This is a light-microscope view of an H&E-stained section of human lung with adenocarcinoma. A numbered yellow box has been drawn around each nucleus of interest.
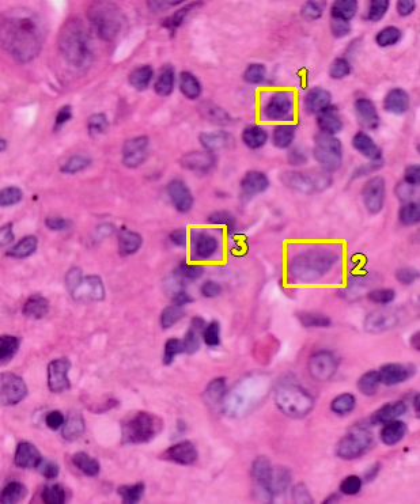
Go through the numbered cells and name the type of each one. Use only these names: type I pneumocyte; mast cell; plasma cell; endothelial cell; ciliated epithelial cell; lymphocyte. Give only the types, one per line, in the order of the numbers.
lymphocyte
endothelial cell
lymphocyte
